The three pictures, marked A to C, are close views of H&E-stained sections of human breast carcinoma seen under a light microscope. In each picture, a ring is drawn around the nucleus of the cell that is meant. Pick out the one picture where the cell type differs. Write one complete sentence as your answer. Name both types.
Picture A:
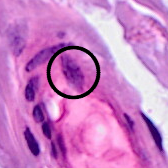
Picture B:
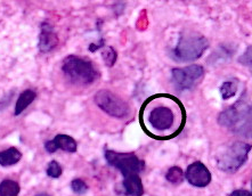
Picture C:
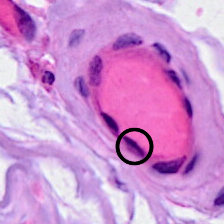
Unlike the rest, which show endothelial cells, picture B shows a carcinoma cell.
